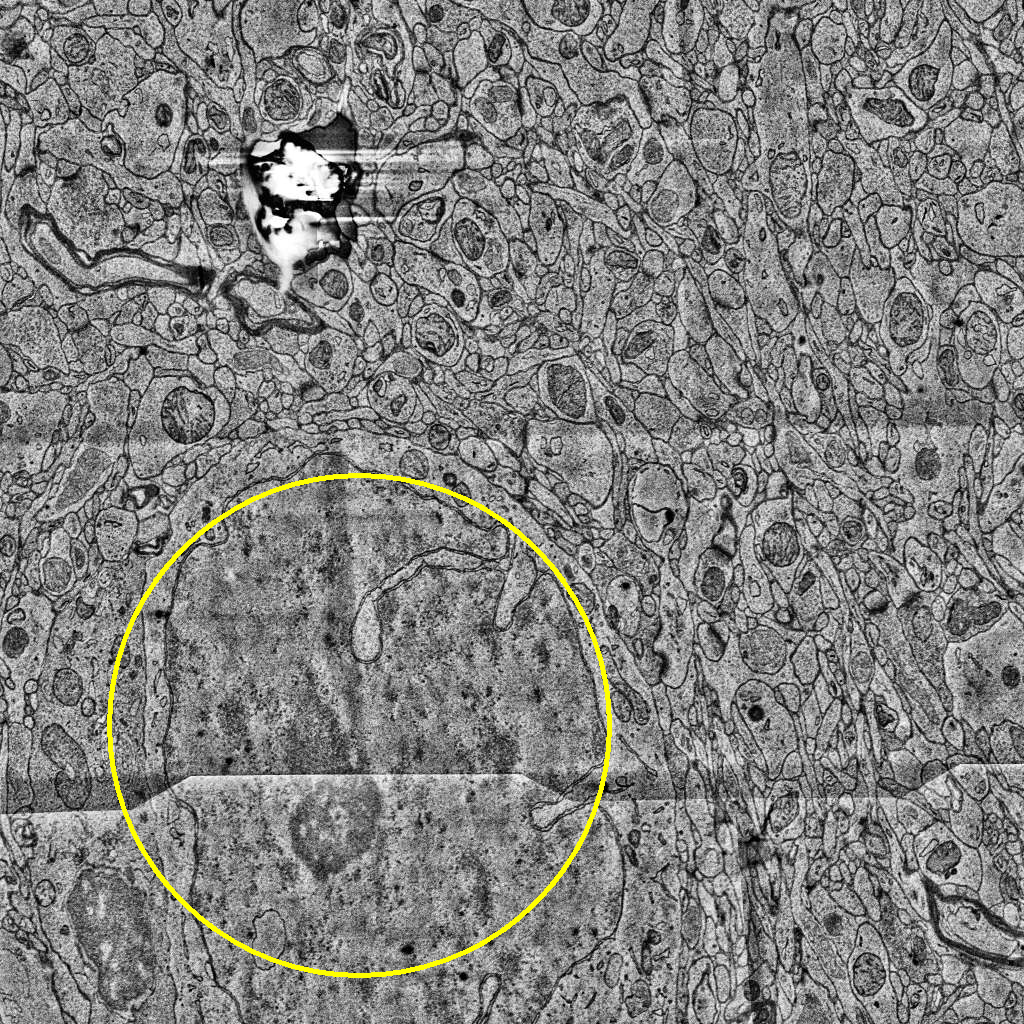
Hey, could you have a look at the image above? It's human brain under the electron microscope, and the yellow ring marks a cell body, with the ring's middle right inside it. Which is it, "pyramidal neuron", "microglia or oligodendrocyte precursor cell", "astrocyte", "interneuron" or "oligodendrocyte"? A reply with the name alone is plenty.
interneuron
